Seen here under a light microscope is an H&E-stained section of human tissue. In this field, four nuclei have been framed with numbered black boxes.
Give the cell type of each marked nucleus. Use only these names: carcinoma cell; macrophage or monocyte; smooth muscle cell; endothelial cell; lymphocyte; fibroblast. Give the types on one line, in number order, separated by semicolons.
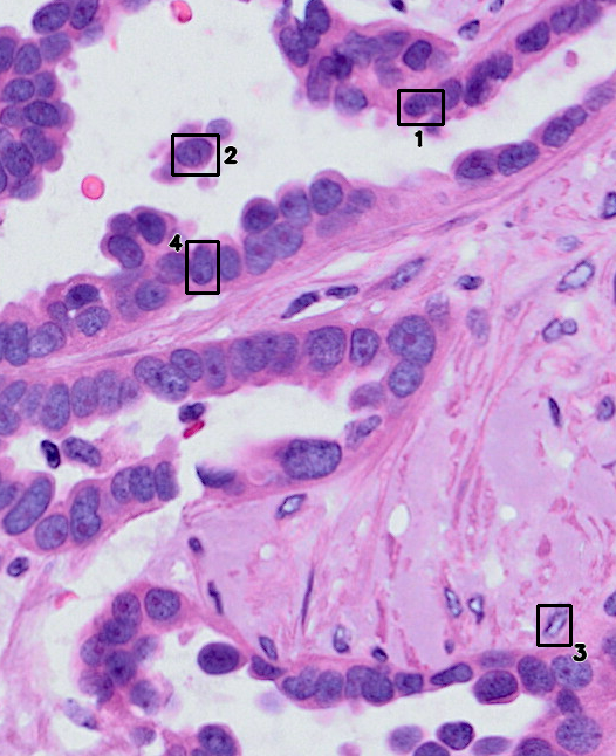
carcinoma cell; carcinoma cell; fibroblast; carcinoma cell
